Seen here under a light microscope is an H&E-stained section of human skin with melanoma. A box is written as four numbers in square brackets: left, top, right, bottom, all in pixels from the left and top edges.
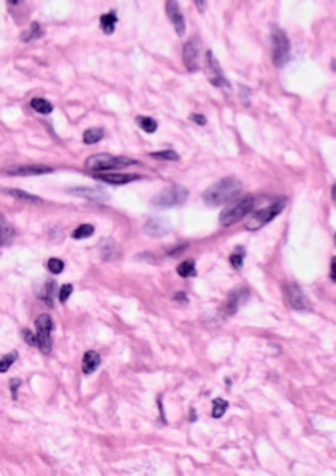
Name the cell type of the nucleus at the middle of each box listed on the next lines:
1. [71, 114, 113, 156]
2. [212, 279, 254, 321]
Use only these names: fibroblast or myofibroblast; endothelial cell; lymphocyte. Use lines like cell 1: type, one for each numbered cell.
cell 1: lymphocyte
cell 2: fibroblast or myofibroblast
